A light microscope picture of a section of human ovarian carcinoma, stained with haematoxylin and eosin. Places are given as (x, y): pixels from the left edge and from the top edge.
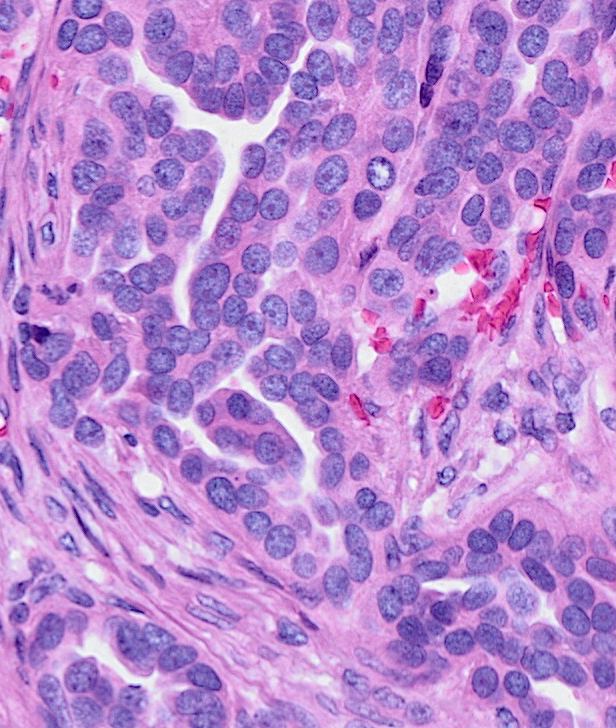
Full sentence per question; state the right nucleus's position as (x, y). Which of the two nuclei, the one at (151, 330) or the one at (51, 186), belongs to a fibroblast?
Of the two nuclei, the nucleus of a fibroblast is at (51, 186).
